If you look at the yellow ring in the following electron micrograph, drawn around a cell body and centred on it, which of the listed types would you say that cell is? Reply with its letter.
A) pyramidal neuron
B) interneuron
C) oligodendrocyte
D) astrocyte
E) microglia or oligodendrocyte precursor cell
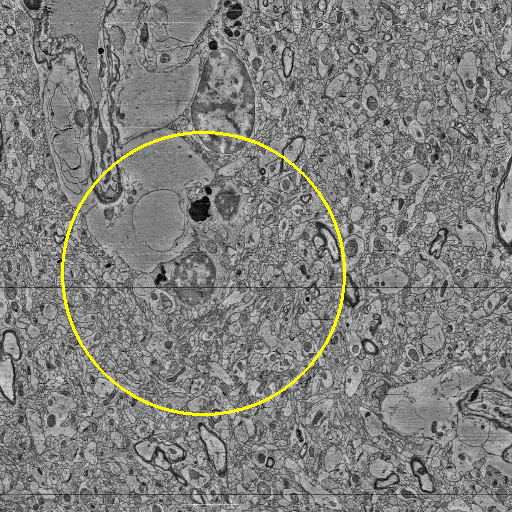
C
